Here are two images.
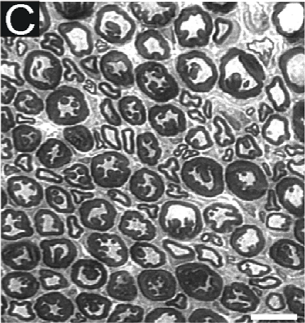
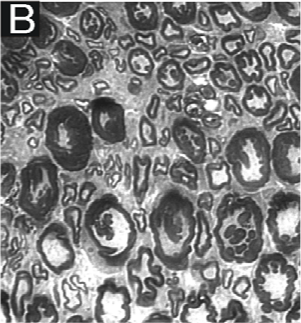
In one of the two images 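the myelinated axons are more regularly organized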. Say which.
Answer: The first image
